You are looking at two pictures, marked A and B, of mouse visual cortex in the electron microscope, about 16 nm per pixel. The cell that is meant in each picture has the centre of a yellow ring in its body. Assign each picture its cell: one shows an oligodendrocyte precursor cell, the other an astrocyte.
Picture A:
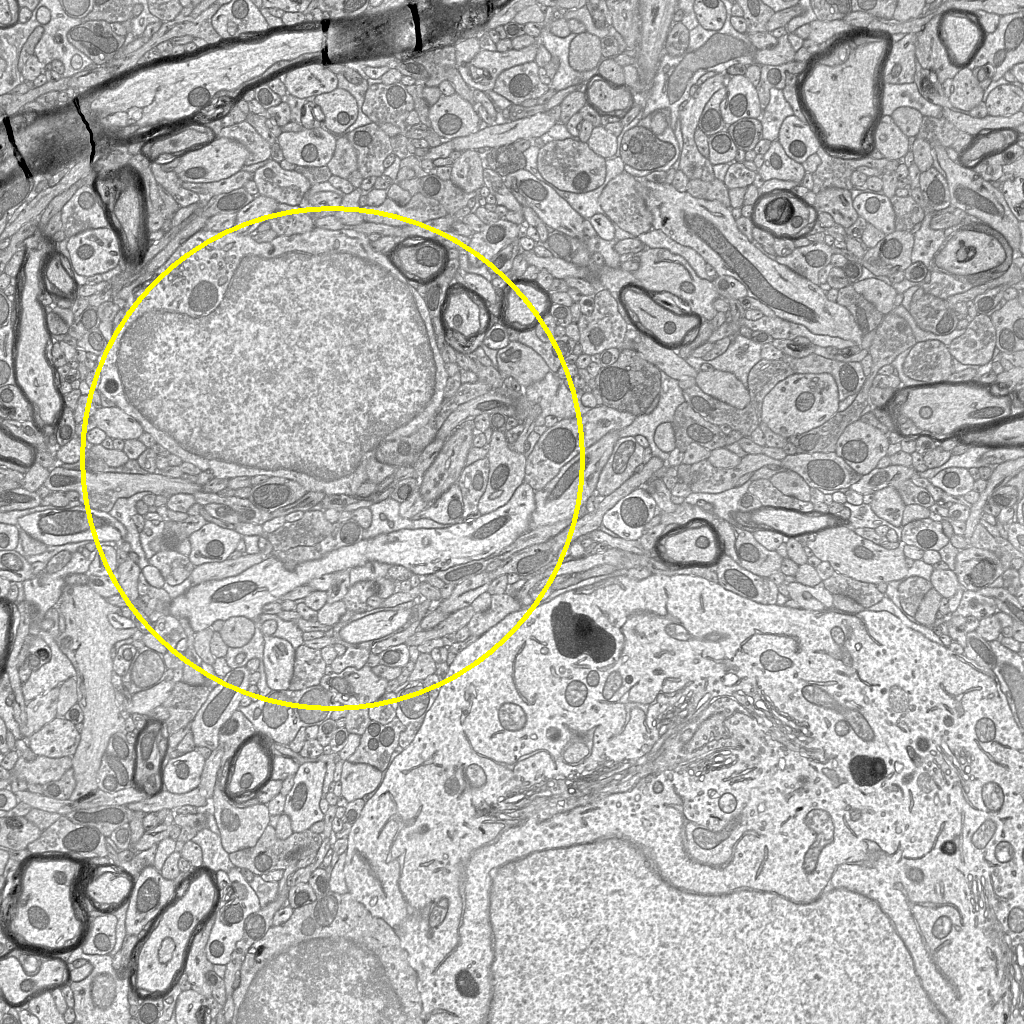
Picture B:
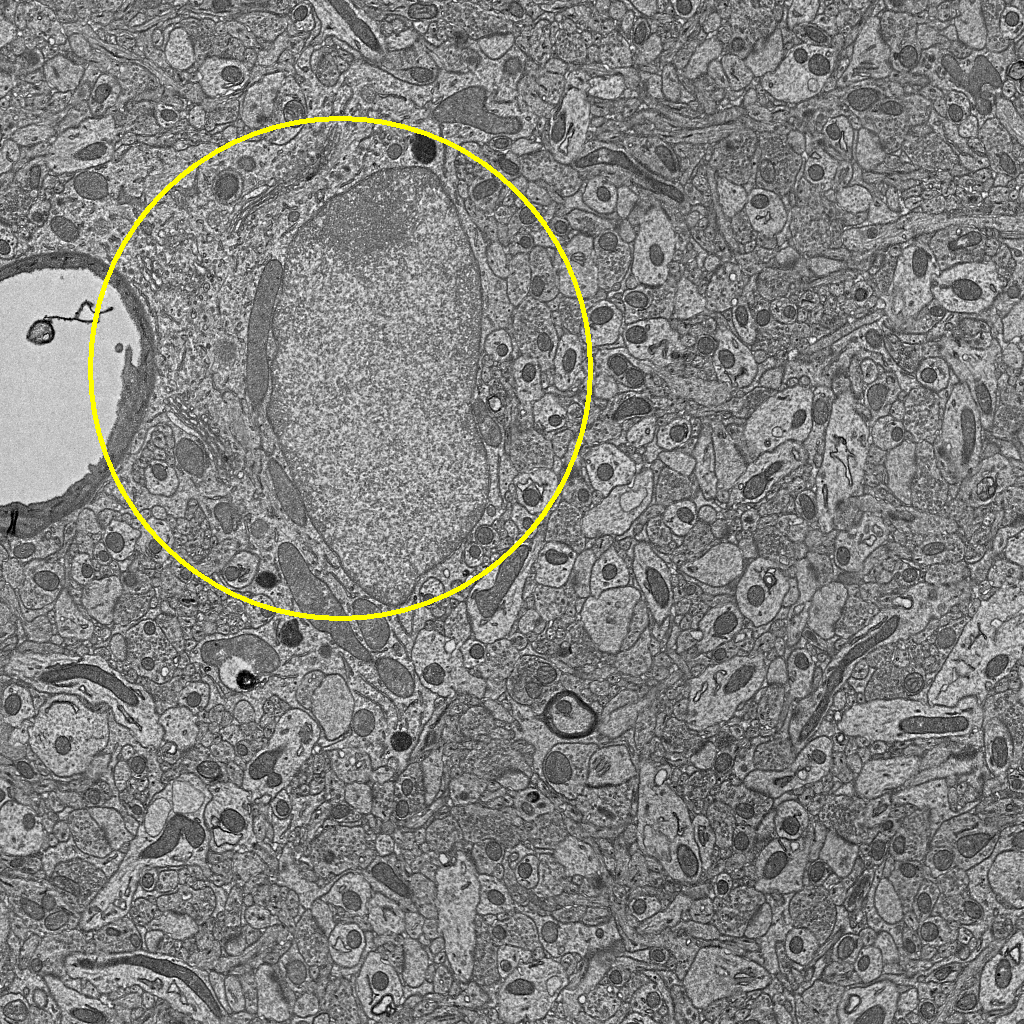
It is picture A that shows an oligodendrocyte precursor cell, and picture B that shows an astrocyte.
